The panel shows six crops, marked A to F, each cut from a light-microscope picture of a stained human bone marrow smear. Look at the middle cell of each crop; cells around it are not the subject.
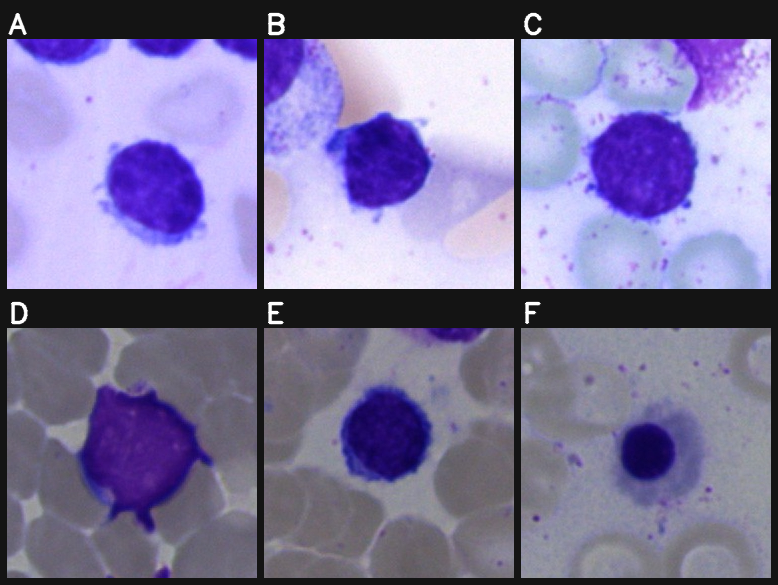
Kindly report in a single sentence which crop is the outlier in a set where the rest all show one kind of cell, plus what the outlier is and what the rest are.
The odd one out is crop F, an erythroblast, and all other crops show lymphocytes.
